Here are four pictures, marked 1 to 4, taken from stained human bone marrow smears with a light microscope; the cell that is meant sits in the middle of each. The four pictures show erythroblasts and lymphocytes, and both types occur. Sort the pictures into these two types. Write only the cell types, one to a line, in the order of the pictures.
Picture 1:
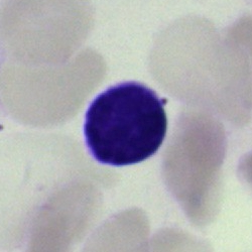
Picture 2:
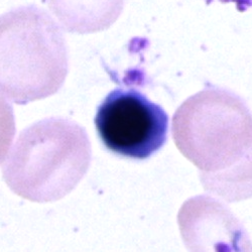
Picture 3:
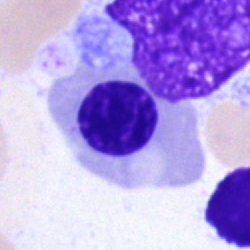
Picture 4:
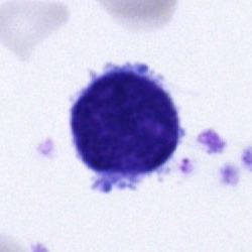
lymphocyte
erythroblast
erythroblast
lymphocyte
